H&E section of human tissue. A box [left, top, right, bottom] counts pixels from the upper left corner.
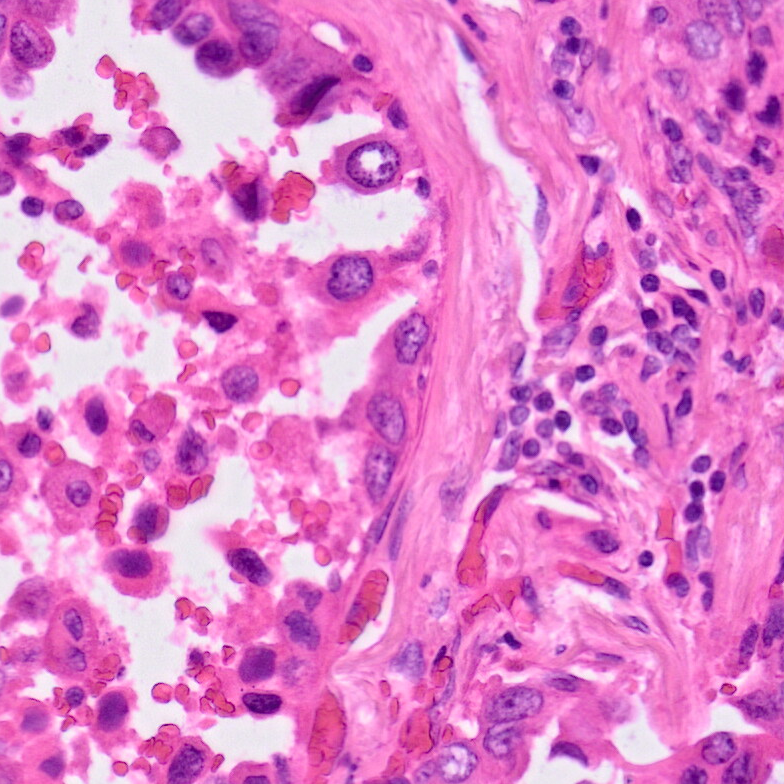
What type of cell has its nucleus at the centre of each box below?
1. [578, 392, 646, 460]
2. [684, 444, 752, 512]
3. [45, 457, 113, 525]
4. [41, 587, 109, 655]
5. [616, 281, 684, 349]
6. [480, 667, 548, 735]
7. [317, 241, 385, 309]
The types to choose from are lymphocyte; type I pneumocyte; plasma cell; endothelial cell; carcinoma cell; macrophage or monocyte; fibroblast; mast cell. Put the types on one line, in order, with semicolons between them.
lymphocyte; lymphocyte; macrophage or monocyte; macrophage or monocyte; lymphocyte; carcinoma cell; carcinoma cell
